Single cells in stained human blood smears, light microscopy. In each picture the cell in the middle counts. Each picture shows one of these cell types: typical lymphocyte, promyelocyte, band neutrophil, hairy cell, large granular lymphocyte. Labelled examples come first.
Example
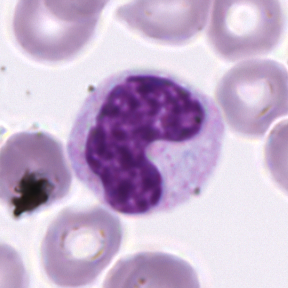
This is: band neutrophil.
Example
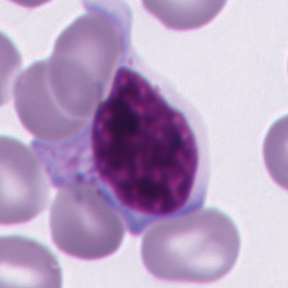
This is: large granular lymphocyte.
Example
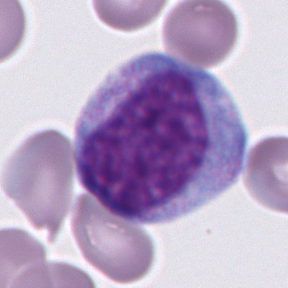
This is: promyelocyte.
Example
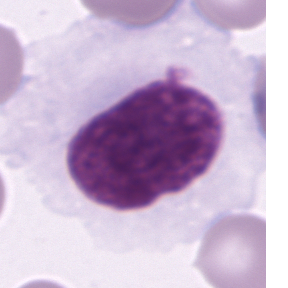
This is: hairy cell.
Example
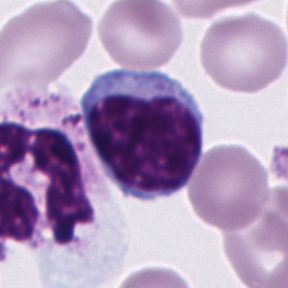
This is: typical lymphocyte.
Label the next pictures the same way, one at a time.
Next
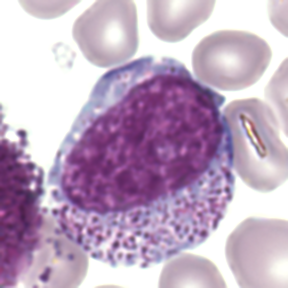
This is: promyelocyte.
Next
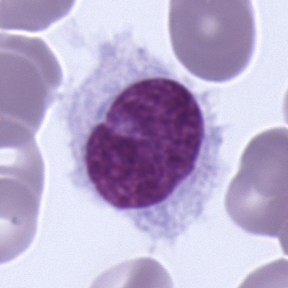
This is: hairy cell.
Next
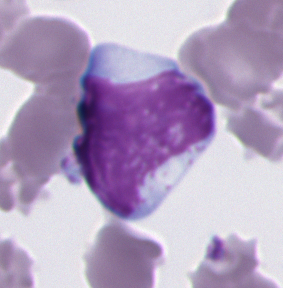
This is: large granular lymphocyte.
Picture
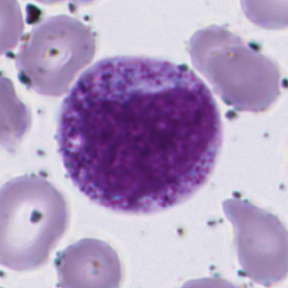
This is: promyelocyte.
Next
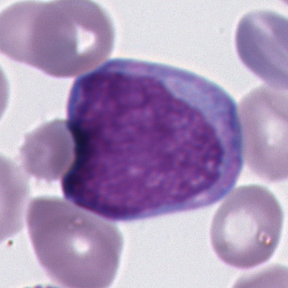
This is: promyelocyte.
